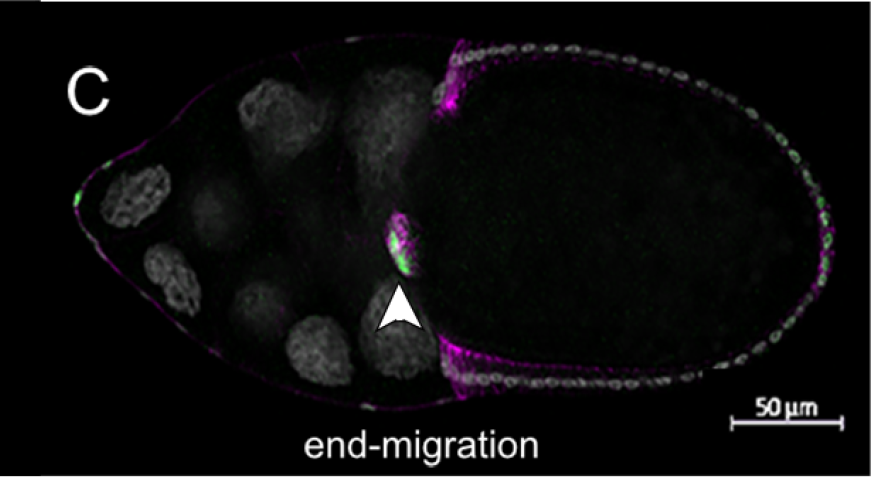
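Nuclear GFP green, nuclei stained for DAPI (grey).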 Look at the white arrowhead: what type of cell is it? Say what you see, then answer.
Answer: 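A small cluster with green and magenta signal lies against the anterior border of the large oocyte. It is separated from the anterior tip by the nurse cells.
Conclusion: border cell cluster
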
